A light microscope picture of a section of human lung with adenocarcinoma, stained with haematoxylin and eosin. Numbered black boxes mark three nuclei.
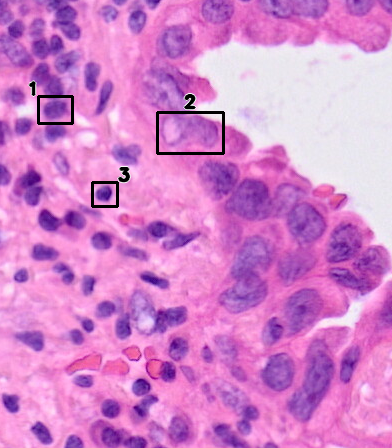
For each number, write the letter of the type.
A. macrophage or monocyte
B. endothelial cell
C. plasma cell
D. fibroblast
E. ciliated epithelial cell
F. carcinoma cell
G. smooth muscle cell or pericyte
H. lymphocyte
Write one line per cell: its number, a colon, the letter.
1: H
2: F
3: H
